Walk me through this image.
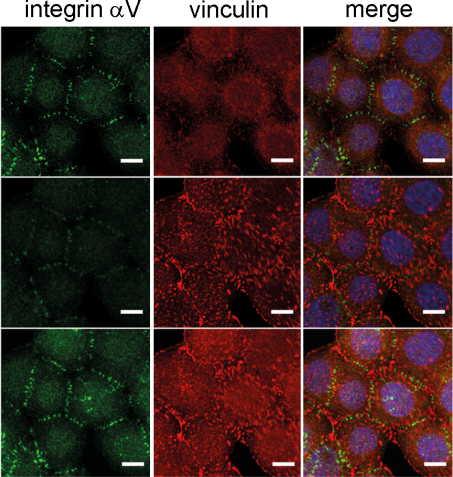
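Green dots line the borders between neighbouring cells, forming dotted outlines around each cell, best seen in the upper and projected planes. The red signal is diffuse in the cytoplasm in the upper plane, while in the lower plane it forms many short elongated streaks across the cell bases.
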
